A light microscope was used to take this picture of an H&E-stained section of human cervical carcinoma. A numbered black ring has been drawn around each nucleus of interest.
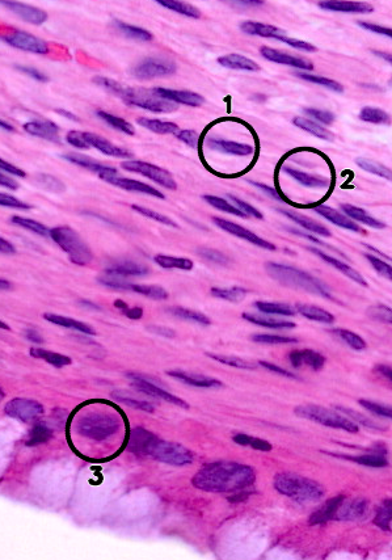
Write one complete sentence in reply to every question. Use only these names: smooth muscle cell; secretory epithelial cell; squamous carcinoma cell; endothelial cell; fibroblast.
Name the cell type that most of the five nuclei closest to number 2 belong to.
Fibroblasts make up most of the five nuclei closest to number 2.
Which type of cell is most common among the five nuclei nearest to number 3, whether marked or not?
Of the five nuclei nearest to number 3, most belong to secretory epithelial cells.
